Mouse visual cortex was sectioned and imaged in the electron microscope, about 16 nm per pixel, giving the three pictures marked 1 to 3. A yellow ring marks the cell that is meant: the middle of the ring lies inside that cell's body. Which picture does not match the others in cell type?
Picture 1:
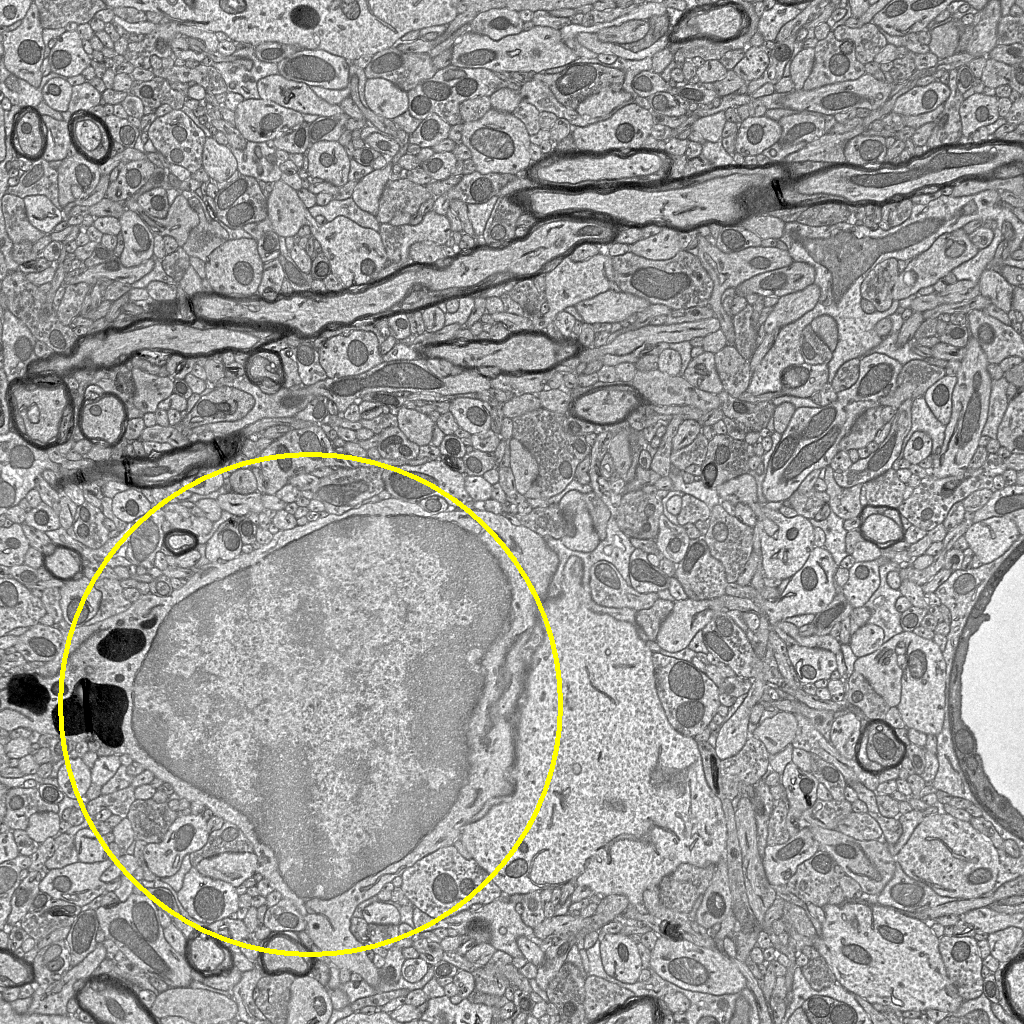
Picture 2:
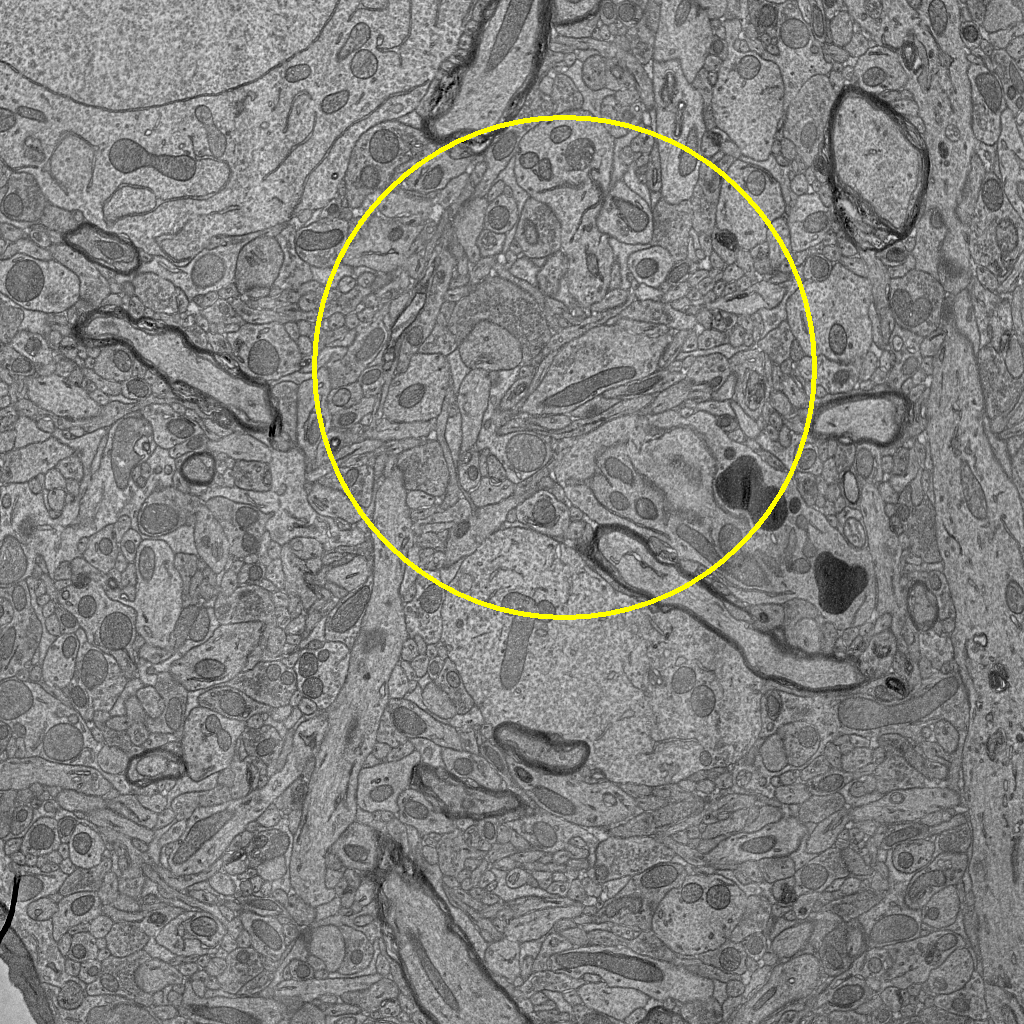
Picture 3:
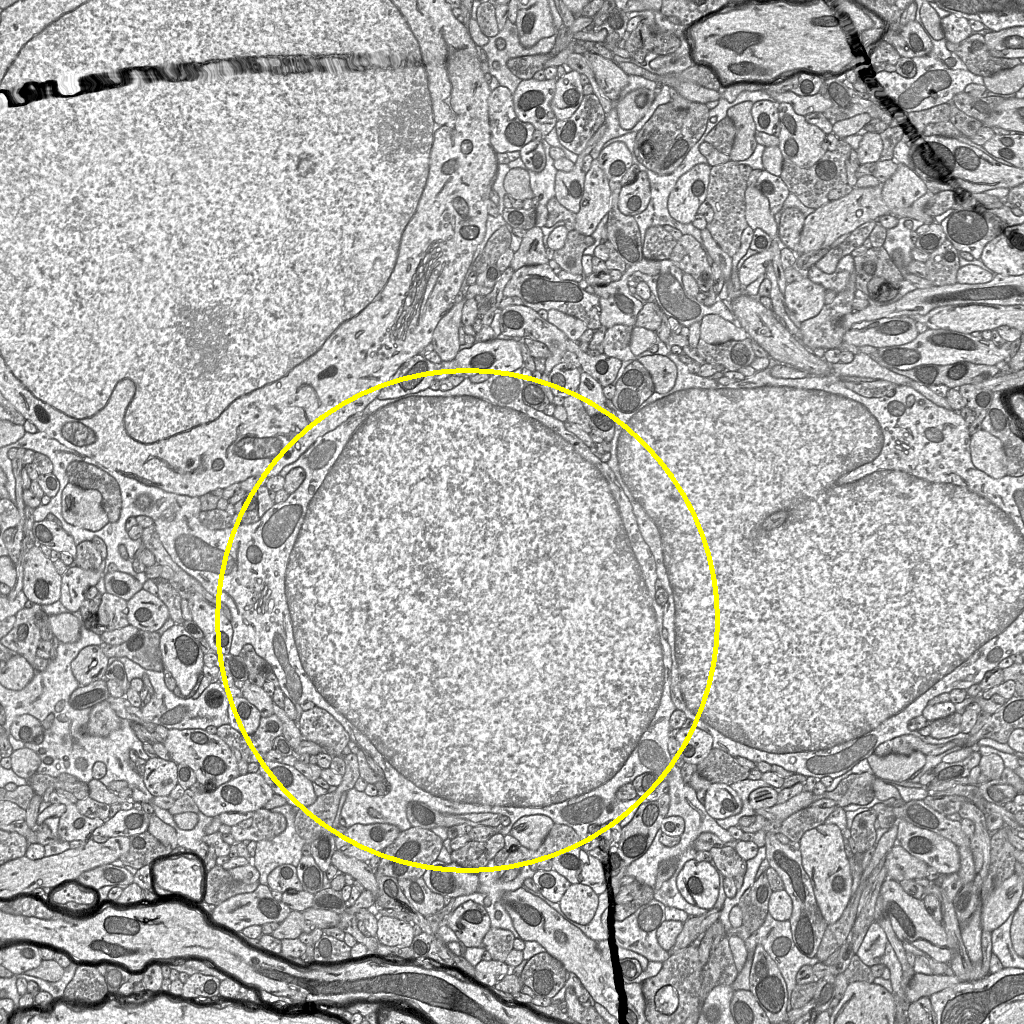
All pictures except 3 show microglial cells; picture 3 shows an astrocyte.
